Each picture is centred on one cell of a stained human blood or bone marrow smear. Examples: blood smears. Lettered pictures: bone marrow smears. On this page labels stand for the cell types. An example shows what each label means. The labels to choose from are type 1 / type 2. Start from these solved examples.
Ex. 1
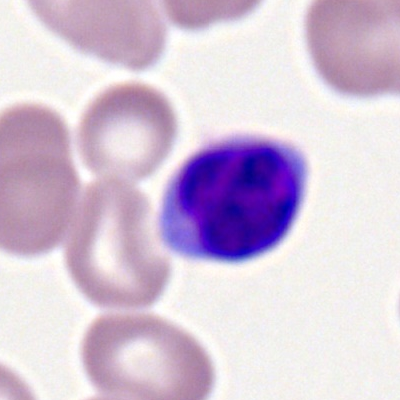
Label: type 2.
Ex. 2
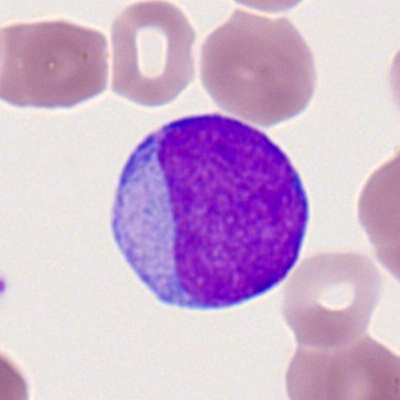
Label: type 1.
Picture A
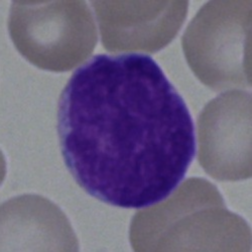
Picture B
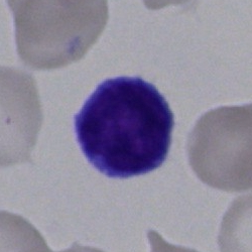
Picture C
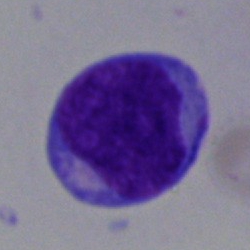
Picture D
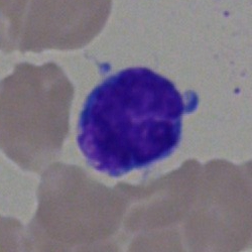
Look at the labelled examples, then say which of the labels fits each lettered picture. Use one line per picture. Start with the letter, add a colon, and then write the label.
A: type 1.
B: type 2.
C: type 1.
D: type 2.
